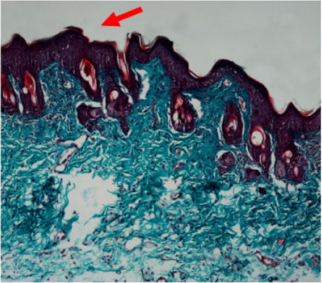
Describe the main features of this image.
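The epidermis forms a broad, dark band along the upper surface, with a thin red-staining layer at its very top. Hair follicles dip down from it as elongated dark-red profiles into the blue-green dermis. Below, the collagen fibres are loose and wispy, with pale spaces between them.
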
